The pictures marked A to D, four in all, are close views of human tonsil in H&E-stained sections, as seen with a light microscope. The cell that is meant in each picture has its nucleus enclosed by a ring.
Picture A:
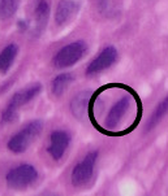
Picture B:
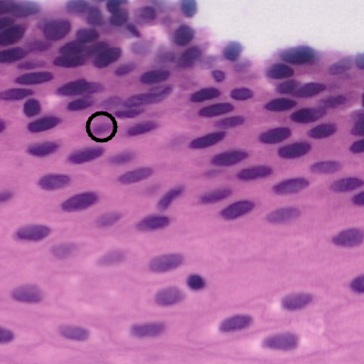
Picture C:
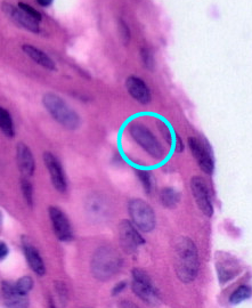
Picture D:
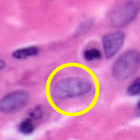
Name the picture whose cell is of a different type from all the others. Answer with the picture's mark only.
D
